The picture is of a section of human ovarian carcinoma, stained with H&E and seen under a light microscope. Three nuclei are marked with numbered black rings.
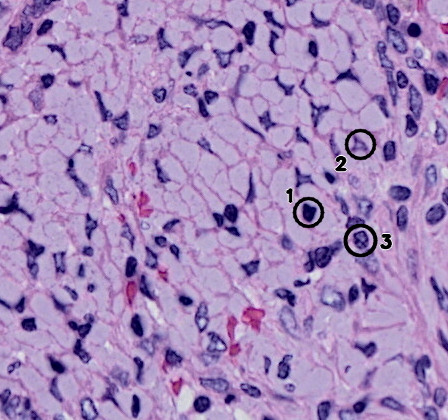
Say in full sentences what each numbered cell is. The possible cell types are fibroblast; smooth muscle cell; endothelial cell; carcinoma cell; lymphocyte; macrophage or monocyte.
Cells 1 and 3 are lymphocytes. Cell 2 is a fibroblast.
